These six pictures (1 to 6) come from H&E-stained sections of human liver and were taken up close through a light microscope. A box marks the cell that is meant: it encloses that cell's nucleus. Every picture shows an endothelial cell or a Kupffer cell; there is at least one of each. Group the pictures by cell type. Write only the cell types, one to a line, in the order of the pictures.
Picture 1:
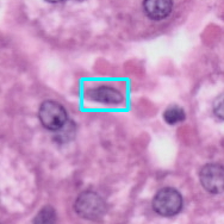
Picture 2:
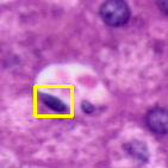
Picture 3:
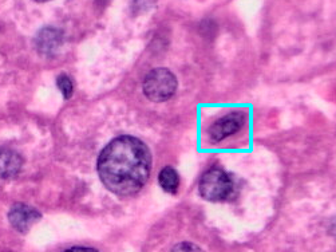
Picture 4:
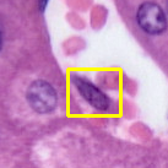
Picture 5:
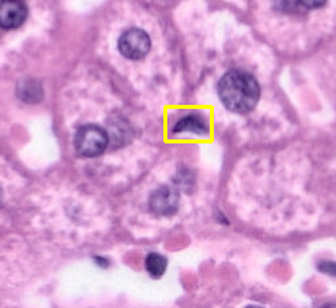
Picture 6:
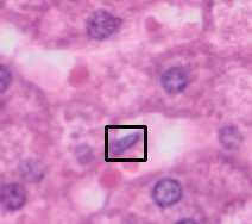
Kupffer cell
endothelial cell
Kupffer cell
Kupffer cell
endothelial cell
Kupffer cell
